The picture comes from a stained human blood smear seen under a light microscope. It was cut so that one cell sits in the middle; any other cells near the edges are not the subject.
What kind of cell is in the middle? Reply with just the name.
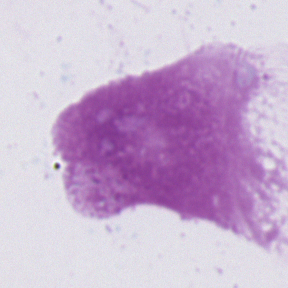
smudge cell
